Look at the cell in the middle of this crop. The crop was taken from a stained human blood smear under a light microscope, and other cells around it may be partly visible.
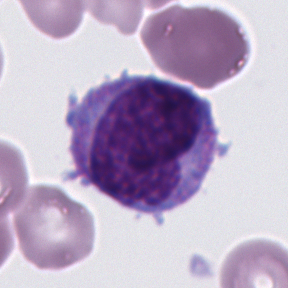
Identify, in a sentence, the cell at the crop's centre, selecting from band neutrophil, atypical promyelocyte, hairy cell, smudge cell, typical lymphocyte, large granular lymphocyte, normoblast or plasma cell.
The centrally placed cell is classified as an atypical promyelocyte.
